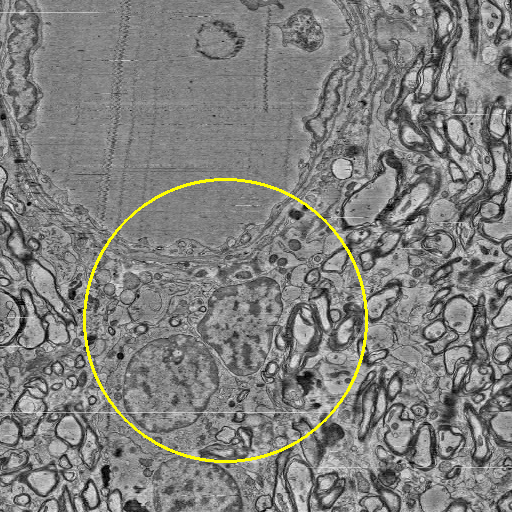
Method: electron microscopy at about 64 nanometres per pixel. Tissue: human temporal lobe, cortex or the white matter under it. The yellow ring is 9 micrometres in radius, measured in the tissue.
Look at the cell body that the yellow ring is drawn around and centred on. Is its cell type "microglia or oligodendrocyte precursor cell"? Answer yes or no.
yes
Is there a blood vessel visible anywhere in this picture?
Yes, the image shows a blood vessel.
